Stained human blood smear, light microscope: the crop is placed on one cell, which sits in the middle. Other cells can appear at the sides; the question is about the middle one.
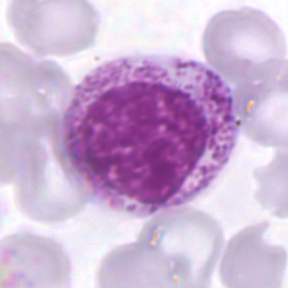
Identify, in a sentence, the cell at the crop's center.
The centrally positioned cell in the crop represents a myelocyte.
